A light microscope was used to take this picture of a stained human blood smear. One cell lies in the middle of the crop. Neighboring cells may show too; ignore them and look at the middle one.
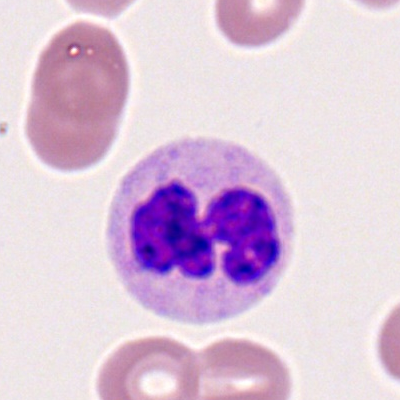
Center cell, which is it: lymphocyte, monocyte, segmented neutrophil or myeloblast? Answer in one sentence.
This crop's central cell is a segmented neutrophil.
